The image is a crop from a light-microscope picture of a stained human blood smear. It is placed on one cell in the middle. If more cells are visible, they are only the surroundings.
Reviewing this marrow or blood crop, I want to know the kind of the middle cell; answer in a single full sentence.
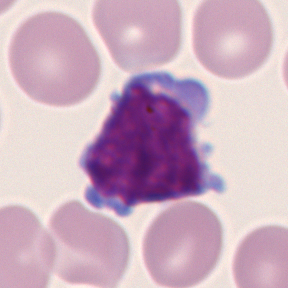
Centrally within this crop lies a typical lymphocyte.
